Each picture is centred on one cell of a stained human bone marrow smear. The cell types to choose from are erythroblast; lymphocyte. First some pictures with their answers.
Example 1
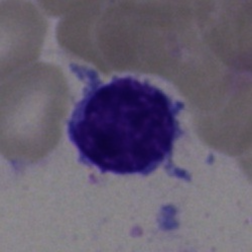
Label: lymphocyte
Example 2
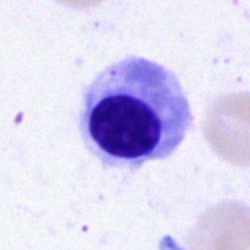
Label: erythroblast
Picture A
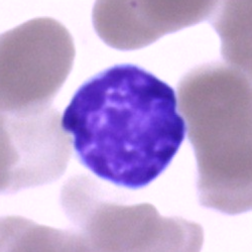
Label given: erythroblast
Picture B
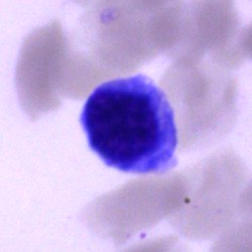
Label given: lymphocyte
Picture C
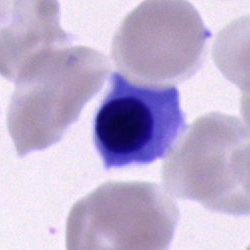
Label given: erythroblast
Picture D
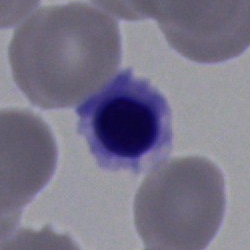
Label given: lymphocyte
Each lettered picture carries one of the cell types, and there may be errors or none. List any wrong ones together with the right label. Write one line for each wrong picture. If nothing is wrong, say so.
A is labelled erythroblast; correct label: lymphocyte
D is labelled lymphocyte; correct label: erythroblast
